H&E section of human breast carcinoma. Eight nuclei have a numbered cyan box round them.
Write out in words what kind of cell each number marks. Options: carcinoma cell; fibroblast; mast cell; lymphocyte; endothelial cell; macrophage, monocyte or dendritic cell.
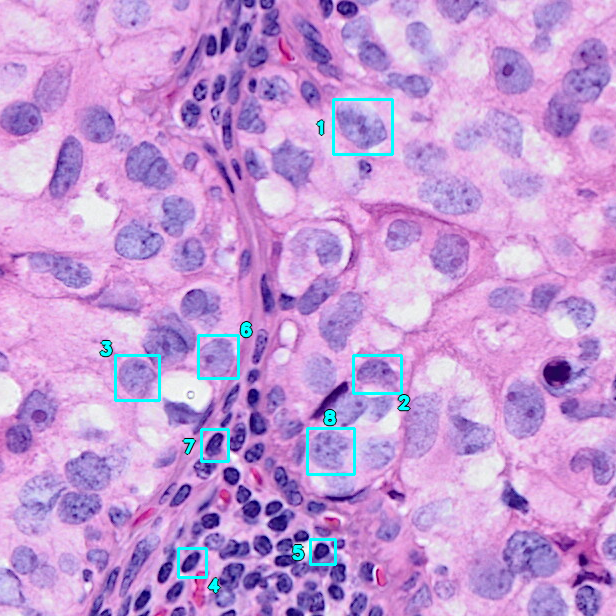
Cells 1, 2, 3, 6 and 8 are carcinoma cells. Cells 4, 5 and 7 are lymphocytes.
